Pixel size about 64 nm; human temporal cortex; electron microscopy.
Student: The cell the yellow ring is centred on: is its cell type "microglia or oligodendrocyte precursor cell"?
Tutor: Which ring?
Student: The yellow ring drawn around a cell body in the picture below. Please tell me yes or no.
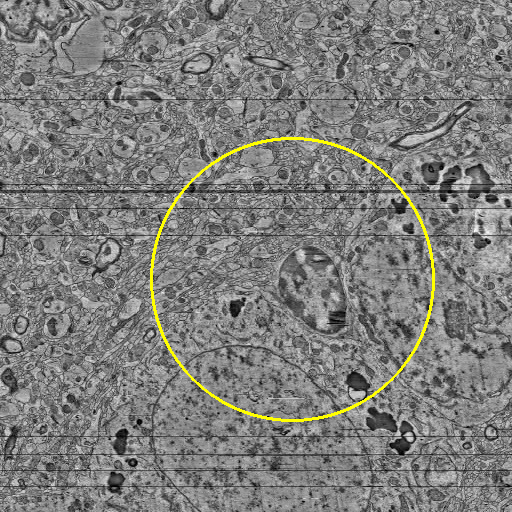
yes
